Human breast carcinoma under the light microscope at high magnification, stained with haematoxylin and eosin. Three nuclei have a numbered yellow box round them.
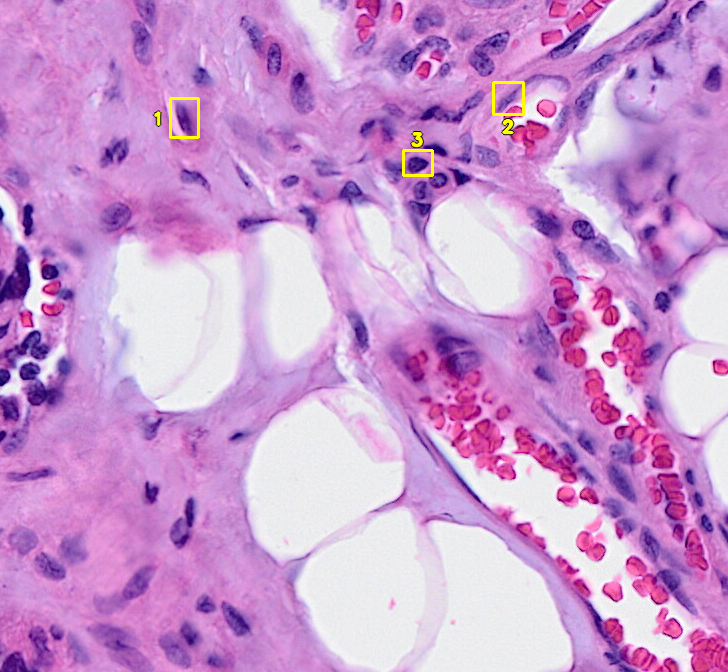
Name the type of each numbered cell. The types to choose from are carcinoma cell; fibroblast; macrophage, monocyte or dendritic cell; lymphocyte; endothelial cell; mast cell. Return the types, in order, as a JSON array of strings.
["endothelial cell", "endothelial cell", "lymphocyte"]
